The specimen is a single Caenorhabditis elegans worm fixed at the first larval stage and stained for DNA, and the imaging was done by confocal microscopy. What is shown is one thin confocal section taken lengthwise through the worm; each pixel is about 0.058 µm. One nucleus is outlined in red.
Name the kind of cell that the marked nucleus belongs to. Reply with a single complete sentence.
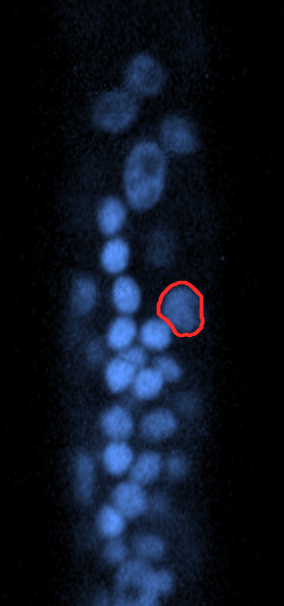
This nucleus is from a glial cell (sheath or socket).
